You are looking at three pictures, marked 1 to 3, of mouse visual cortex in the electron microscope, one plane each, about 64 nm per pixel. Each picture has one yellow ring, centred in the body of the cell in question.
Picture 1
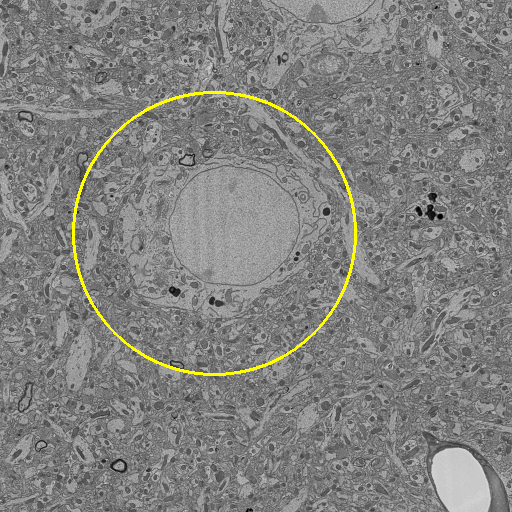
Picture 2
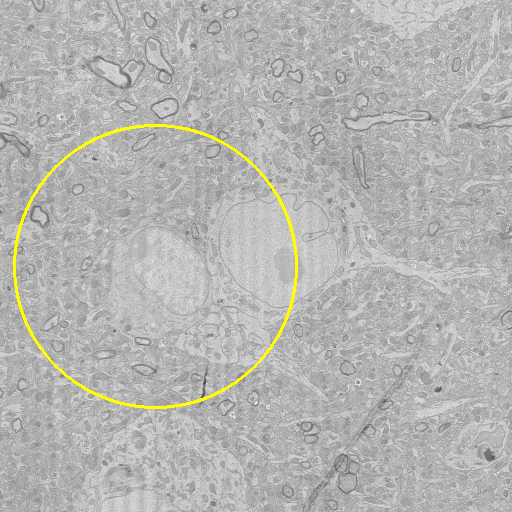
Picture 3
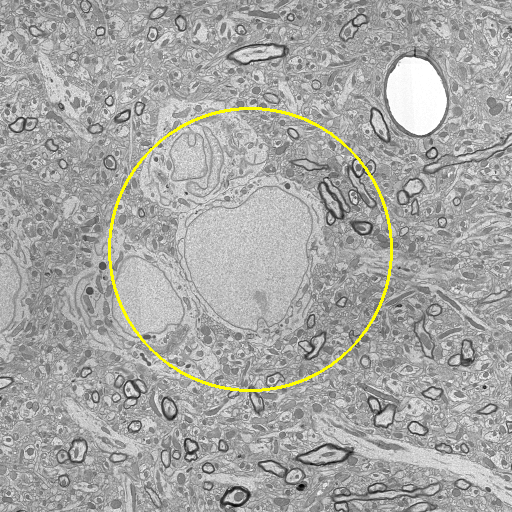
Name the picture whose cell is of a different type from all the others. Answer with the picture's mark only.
2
